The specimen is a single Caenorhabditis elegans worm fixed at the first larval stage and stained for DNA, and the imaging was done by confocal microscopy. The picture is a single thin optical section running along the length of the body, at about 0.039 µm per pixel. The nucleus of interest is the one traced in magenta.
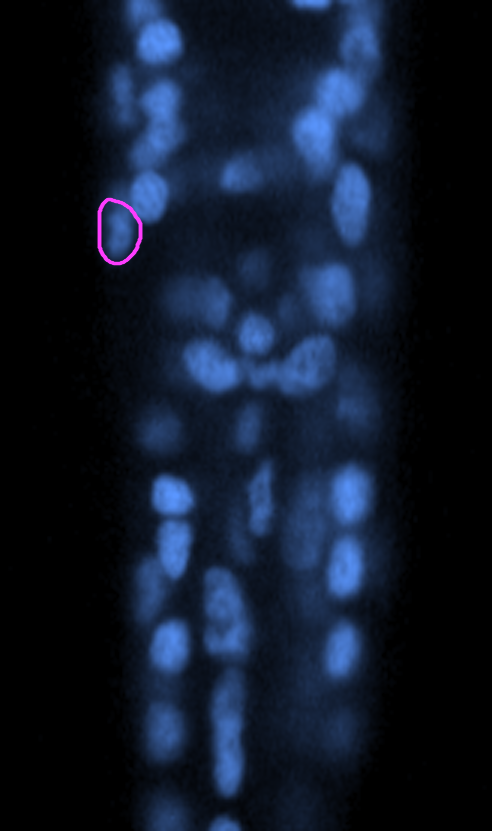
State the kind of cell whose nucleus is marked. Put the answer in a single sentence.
This nucleus is from a hypodermal cell (hyp).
